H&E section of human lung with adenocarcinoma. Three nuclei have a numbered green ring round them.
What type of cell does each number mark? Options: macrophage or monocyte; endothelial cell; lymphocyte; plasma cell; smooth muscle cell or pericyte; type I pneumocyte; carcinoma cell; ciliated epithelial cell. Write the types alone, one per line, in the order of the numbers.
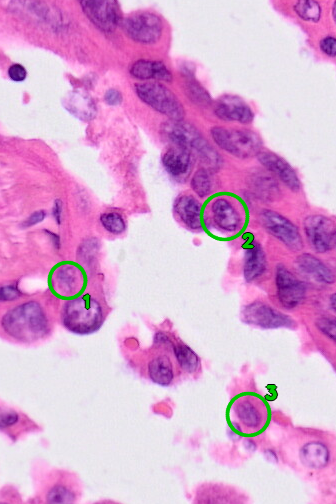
carcinoma cell
carcinoma cell
macrophage or monocyte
